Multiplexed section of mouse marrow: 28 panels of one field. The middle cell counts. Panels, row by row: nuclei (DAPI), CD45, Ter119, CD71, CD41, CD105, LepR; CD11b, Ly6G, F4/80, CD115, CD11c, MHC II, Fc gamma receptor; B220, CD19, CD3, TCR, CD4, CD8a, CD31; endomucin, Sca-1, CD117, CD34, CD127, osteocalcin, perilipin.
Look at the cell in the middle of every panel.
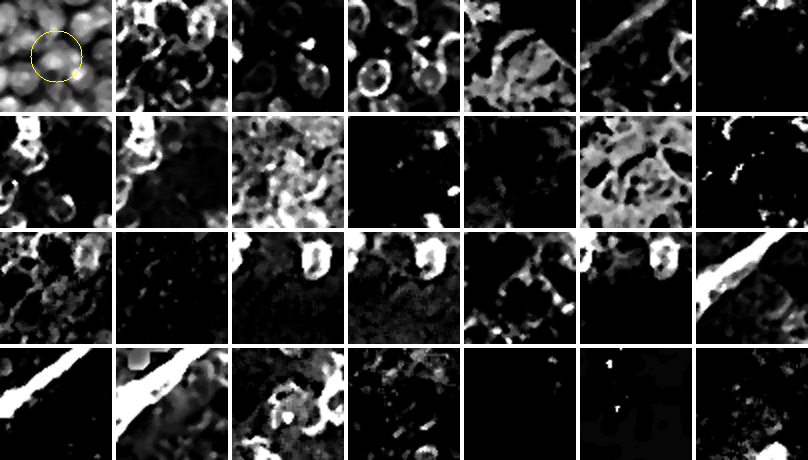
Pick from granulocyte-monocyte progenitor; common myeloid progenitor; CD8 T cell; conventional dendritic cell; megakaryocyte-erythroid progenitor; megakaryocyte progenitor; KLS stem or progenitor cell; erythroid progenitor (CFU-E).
megakaryocyte progenitor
